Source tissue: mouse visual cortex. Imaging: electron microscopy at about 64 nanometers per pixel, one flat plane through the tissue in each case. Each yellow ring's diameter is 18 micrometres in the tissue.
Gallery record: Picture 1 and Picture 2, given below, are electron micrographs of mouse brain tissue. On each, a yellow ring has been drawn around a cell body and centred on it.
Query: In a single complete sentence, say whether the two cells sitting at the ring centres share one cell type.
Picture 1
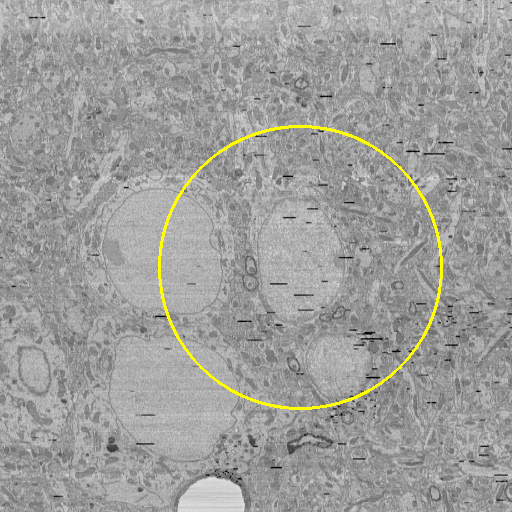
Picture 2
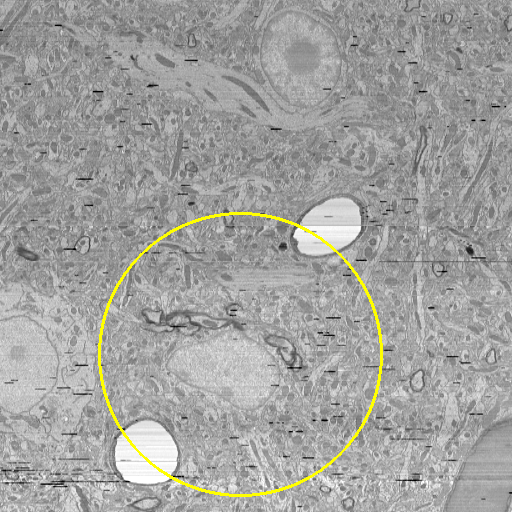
Yes, in both pictures the cell at the ring's centre is of one and the same type.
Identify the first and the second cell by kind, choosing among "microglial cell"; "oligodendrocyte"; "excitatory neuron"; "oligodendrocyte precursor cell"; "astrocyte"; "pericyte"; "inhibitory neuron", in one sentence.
Each of the two cells is an astrocyte.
